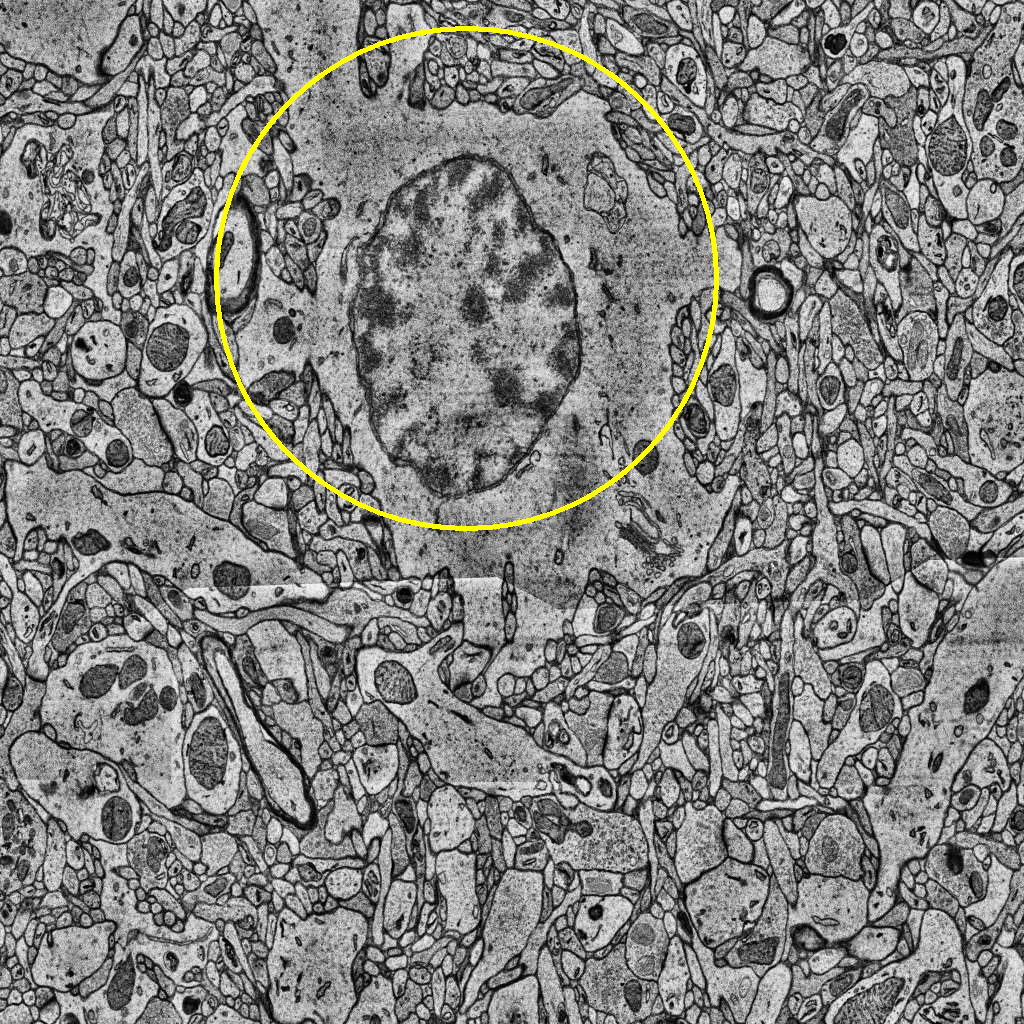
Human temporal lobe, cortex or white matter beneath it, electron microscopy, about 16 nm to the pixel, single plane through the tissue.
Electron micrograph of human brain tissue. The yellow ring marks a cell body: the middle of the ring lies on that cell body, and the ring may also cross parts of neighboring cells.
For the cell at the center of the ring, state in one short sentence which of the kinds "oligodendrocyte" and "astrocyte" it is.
This ring's center lies on an astrocyte.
